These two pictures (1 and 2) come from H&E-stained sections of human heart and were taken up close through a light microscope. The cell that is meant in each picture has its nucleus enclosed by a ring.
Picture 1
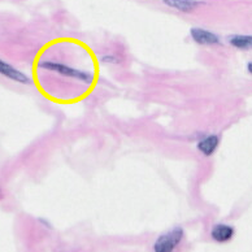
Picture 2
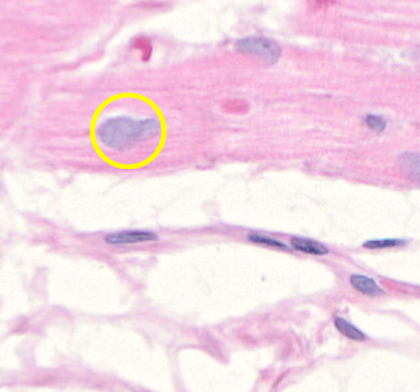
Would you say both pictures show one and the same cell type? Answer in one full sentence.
No, they differ: the cell is a fibroblast in picture 1 and a cardiomyocyte in picture 2.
